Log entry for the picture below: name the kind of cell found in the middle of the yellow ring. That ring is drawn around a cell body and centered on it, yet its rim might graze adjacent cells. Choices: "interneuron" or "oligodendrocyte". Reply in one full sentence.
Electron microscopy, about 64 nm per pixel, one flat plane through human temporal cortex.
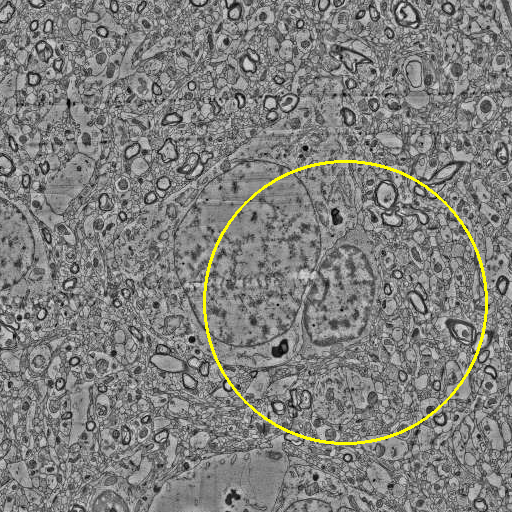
The cell in the middle of the yellow ring in this picture is an oligodendrocyte.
